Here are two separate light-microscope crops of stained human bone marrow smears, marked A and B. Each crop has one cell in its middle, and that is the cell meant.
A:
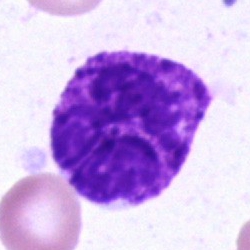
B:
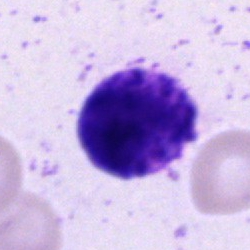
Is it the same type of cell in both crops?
yes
